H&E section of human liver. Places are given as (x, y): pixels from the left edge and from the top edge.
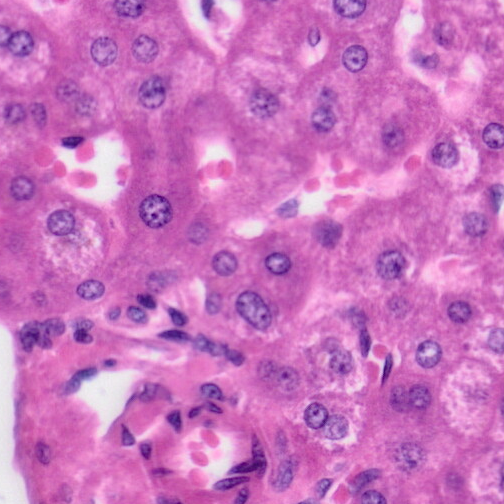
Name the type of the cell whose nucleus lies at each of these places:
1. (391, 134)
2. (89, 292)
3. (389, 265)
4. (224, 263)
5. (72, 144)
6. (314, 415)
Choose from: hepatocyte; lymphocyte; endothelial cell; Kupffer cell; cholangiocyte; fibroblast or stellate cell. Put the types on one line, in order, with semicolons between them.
hepatocyte; cholangiocyte; hepatocyte; hepatocyte; fibroblast or stellate cell; hepatocyte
